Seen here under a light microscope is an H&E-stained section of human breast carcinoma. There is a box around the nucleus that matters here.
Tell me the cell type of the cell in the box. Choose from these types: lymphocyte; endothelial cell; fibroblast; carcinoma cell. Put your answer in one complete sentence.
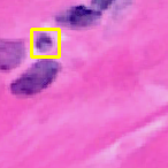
In the stained section, the cell in the box is a lymphocyte.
